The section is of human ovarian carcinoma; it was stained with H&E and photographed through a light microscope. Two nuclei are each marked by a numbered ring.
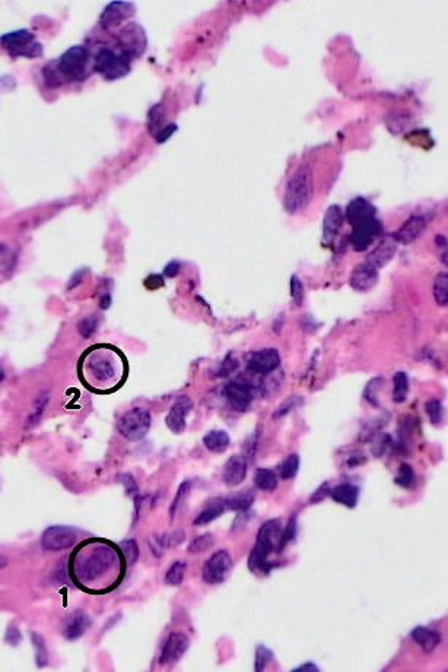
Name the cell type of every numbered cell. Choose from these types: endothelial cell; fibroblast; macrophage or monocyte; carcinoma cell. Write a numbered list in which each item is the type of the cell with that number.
1. carcinoma cell
2. macrophage or monocyte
